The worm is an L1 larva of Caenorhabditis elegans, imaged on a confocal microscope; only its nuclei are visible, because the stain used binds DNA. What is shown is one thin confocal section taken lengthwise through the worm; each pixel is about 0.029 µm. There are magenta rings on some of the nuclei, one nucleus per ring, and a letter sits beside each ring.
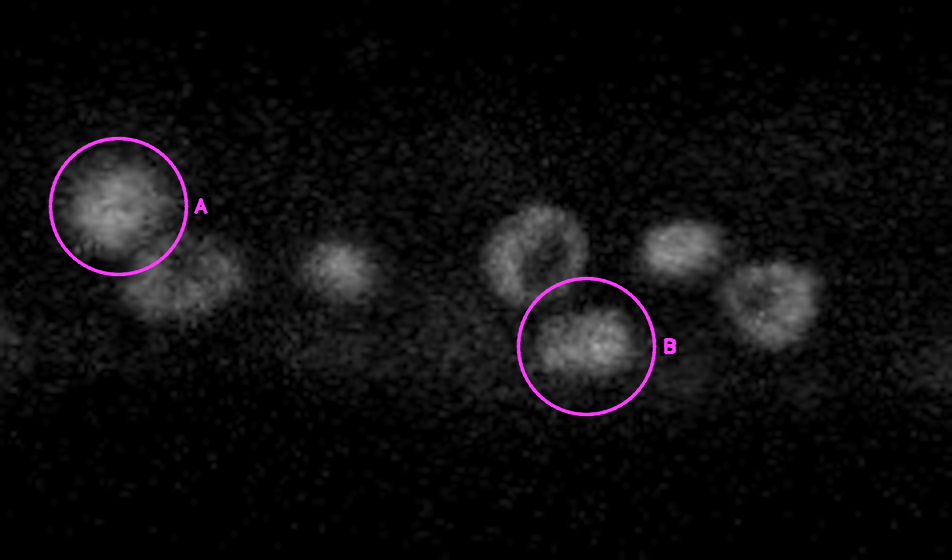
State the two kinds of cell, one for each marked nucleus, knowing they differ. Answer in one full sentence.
The nucleus A is that of a Q neuroblast, while B is that of a P cell (ventral epidermal blast cell).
